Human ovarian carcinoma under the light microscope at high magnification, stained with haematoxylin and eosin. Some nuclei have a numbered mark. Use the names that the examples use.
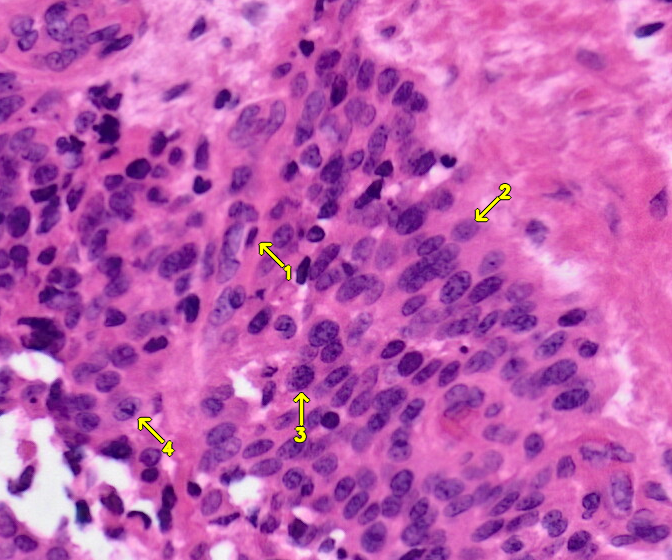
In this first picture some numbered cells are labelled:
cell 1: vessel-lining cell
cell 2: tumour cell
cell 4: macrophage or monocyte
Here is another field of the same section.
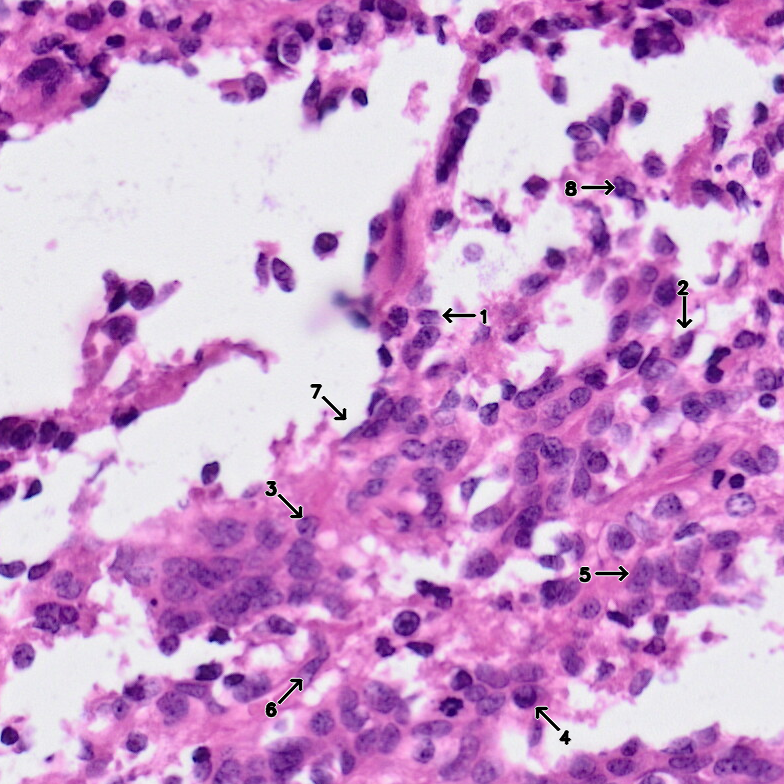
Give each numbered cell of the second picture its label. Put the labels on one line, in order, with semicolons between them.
tumour cell; tumour cell; macrophage or monocyte; tumour cell; tumour cell; vessel-lining cell; tumour cell; macrophage or monocyte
